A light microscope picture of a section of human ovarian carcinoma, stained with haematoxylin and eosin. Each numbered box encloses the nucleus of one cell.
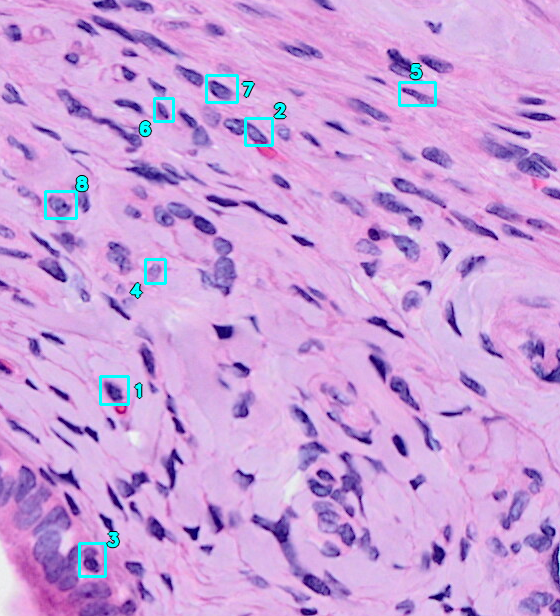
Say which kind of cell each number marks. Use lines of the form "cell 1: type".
cell 1: endothelial cell
cell 2: endothelial cell
cell 3: lymphocyte
cell 4: smooth muscle cell
cell 5: smooth muscle cell
cell 6: smooth muscle cell
cell 7: smooth muscle cell
cell 8: smooth muscle cell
